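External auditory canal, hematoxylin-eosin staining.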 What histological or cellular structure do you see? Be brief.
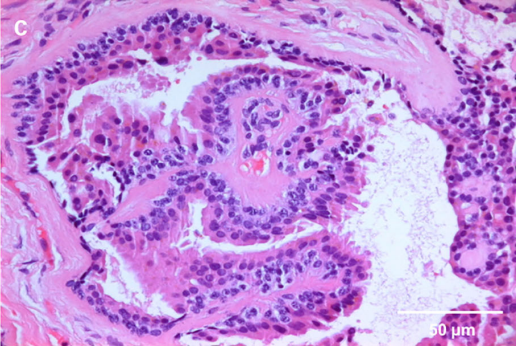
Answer: Papillae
